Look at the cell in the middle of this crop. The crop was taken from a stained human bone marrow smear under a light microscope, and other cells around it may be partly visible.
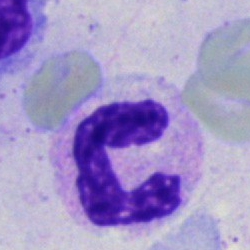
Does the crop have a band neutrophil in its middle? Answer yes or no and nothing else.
no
